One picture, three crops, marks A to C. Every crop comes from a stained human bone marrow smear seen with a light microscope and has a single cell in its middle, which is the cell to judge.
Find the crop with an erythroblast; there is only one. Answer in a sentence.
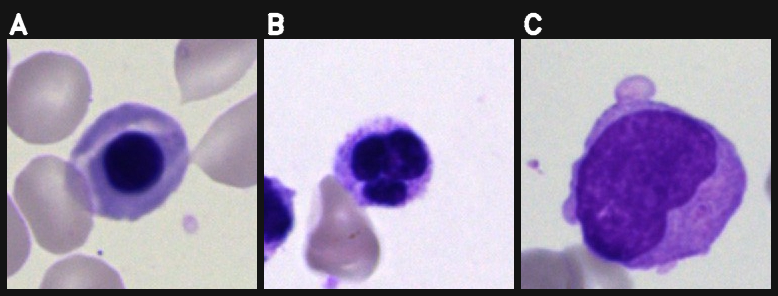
Of the labeled crops, the one with an erythroblast is crop A.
